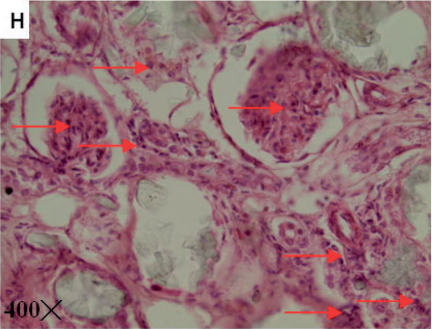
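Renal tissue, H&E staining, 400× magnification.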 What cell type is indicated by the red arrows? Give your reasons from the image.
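Clusters of small dark nuclei lie in the interstitium between tubules. Dilated tubules contain grey crystalline material.
Hence: inflammatory cells.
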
